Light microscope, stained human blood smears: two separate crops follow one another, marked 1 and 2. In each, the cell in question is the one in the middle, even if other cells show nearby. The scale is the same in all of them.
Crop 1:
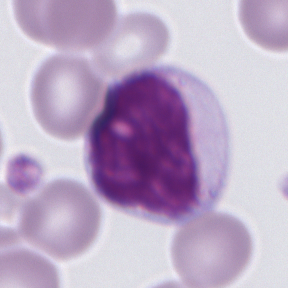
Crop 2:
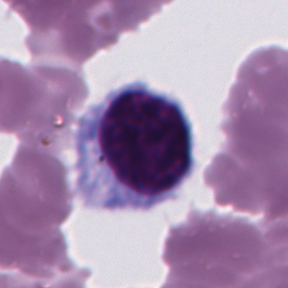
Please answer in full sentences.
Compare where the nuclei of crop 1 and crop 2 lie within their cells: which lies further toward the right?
In crop 2 the nucleus is shifted more toward the right.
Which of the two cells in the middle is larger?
The cell in crop 1 is larger, with about 1.5 times the area of the one in crop 2.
